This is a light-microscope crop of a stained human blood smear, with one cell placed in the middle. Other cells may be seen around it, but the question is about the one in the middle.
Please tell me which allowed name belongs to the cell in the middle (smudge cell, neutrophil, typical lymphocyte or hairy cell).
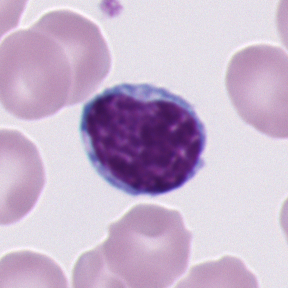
typical lymphocyte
